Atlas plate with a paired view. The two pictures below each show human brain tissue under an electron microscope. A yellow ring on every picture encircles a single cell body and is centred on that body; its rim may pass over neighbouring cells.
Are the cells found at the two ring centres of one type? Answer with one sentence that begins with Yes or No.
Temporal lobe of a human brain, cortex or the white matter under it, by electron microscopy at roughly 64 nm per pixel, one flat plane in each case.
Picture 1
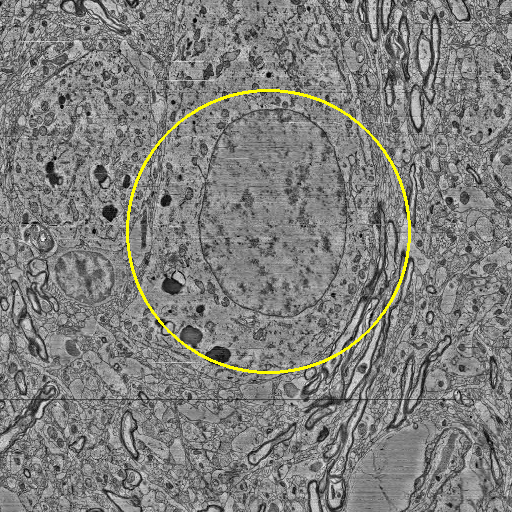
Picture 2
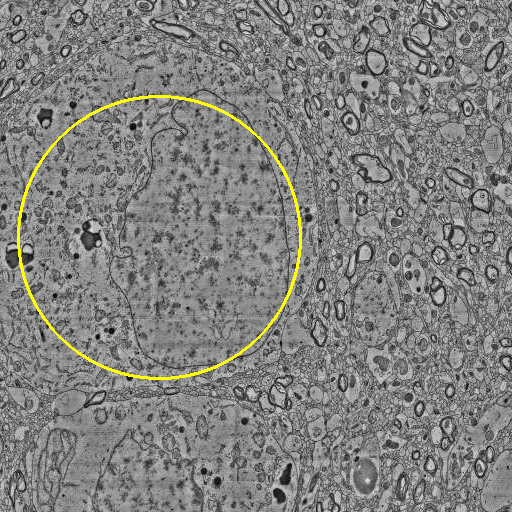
Yes, the two cells lying at the centres of the rings share a single type.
